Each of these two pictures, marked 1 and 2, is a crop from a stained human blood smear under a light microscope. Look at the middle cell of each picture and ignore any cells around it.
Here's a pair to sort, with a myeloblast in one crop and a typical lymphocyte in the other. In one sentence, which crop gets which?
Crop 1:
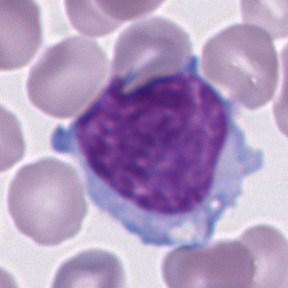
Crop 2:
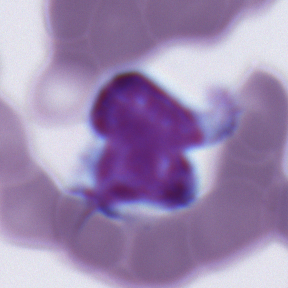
The cell of crop 1 is a myeloblast; that of crop 2 is a typical lymphocyte.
